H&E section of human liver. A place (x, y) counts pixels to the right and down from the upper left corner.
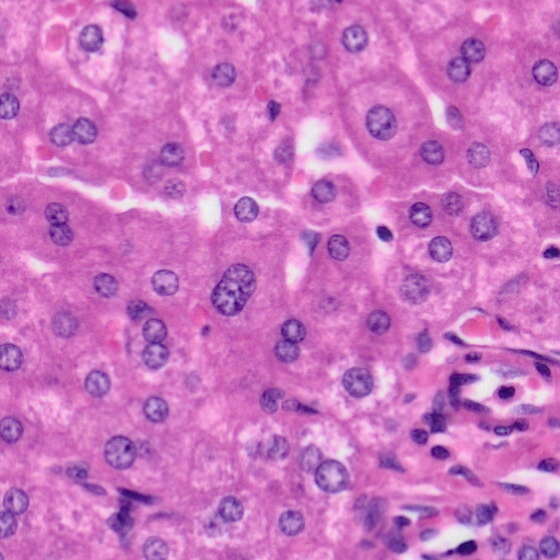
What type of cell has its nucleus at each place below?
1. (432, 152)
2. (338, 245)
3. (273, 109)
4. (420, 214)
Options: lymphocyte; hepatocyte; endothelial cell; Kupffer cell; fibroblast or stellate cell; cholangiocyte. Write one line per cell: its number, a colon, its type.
1: hepatocyte
2: hepatocyte
3: fibroblast or stellate cell
4: hepatocyte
